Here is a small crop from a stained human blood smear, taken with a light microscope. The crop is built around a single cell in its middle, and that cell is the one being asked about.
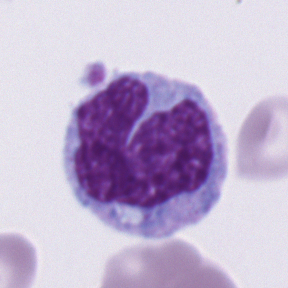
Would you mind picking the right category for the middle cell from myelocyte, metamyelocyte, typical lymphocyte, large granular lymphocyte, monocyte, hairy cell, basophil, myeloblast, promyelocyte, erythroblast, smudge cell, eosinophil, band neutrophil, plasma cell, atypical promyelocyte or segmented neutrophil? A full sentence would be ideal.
The cell that lies at the centre of the crop is a monocyte.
